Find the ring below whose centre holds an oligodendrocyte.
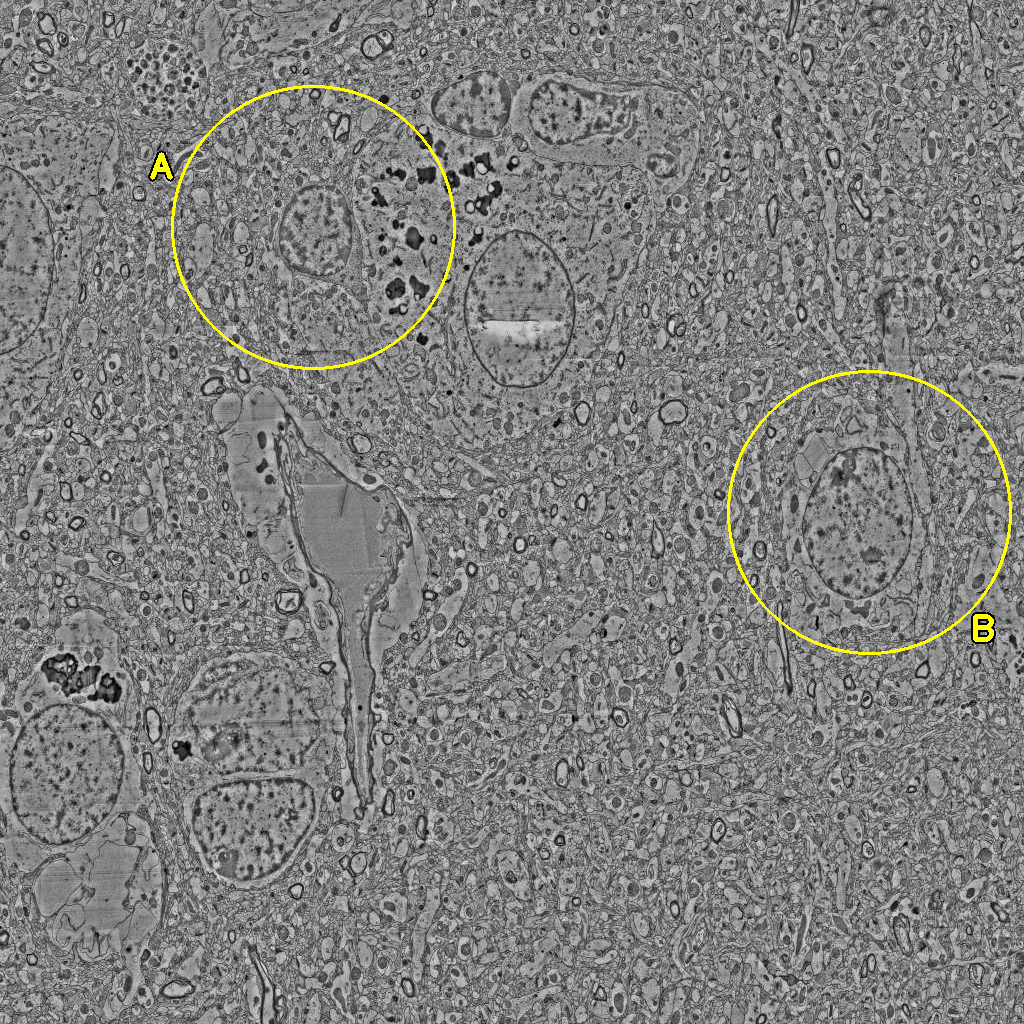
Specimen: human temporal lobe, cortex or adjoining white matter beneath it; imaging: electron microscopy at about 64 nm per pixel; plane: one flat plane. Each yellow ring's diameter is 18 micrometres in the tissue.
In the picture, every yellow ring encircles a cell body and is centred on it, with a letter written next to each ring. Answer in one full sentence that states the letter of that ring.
The ring centred on the cell asked for in the picture carries the letter A.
